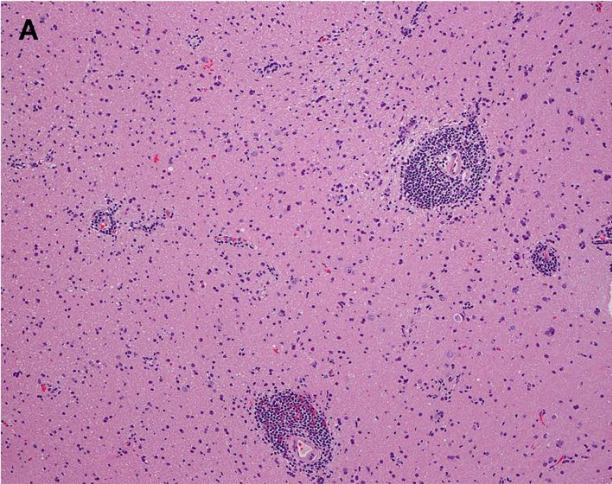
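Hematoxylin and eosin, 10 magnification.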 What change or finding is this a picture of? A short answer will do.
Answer: Perivascular lymphocytic infiltrate.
